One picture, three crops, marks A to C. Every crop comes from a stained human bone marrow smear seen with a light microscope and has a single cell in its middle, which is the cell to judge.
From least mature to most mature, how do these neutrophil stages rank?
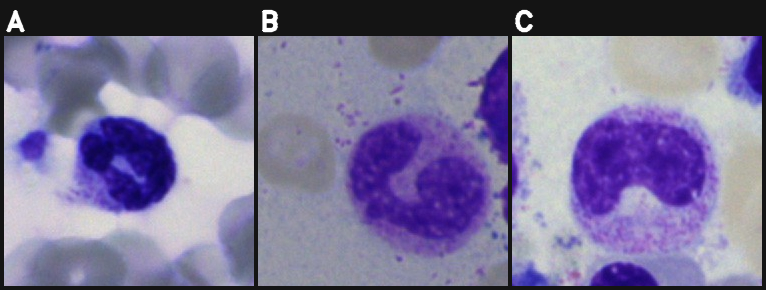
C, B, A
